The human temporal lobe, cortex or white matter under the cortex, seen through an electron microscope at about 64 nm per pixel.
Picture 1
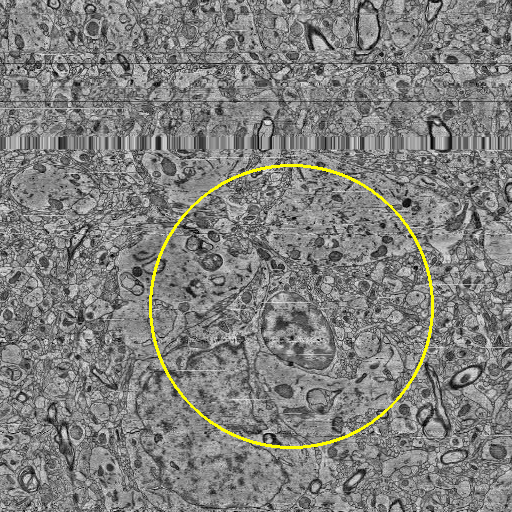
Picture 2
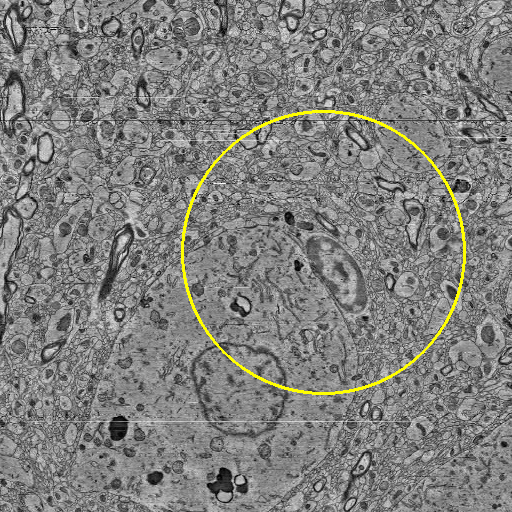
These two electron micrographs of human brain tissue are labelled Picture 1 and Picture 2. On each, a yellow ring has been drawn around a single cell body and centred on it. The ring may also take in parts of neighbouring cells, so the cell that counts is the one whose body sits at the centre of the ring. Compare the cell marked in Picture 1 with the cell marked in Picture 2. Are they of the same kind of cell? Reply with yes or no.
yes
